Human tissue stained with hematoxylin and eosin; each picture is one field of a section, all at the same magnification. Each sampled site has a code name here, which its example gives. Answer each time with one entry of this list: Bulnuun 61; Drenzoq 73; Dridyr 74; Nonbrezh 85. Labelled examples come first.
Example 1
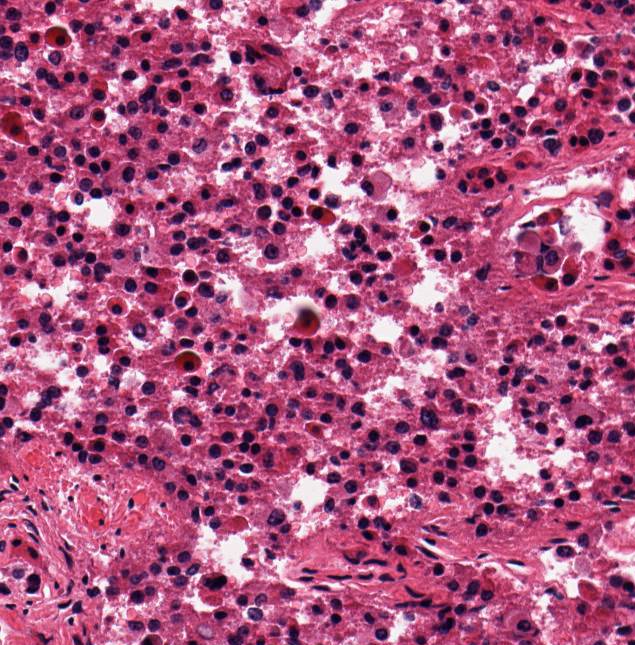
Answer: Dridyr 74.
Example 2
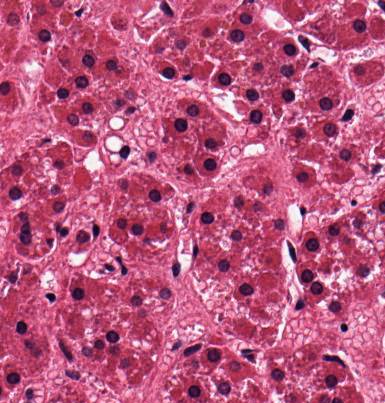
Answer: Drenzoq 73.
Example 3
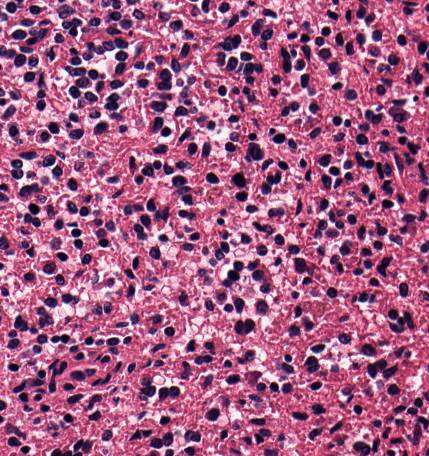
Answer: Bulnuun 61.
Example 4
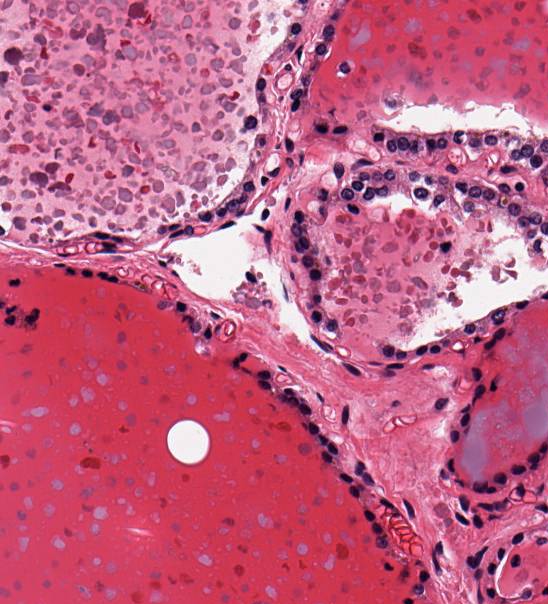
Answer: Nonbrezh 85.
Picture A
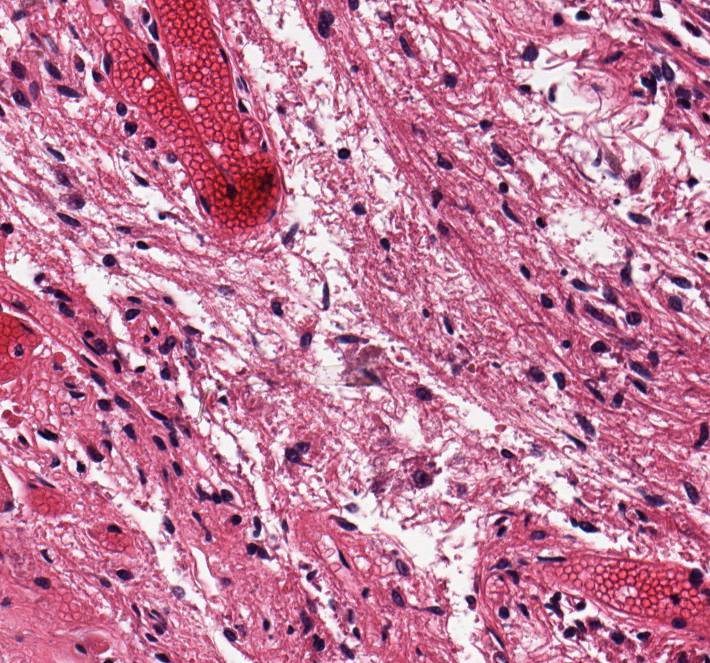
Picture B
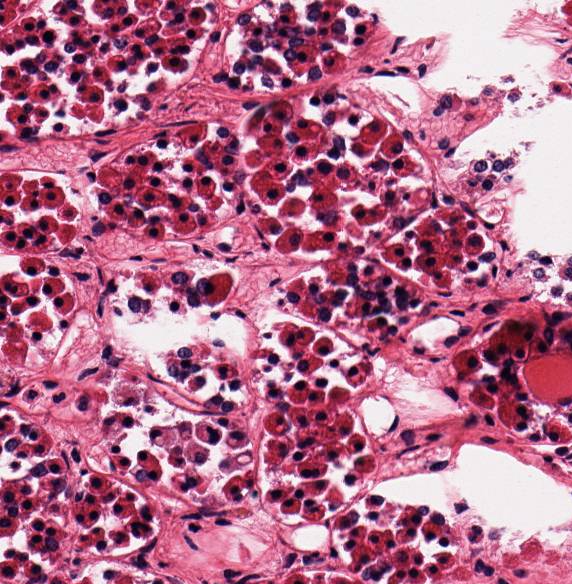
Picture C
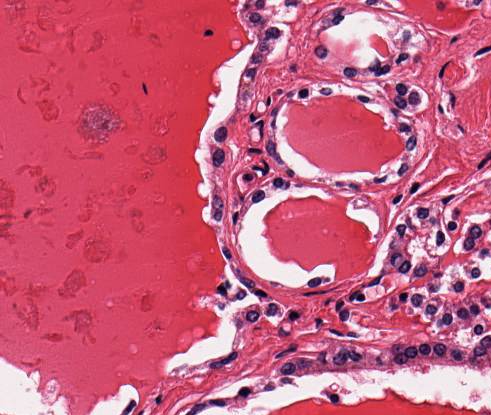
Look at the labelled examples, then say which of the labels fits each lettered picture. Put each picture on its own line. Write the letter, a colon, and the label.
A: Dridyr 74.
B: Dridyr 74.
C: Nonbrezh 85.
